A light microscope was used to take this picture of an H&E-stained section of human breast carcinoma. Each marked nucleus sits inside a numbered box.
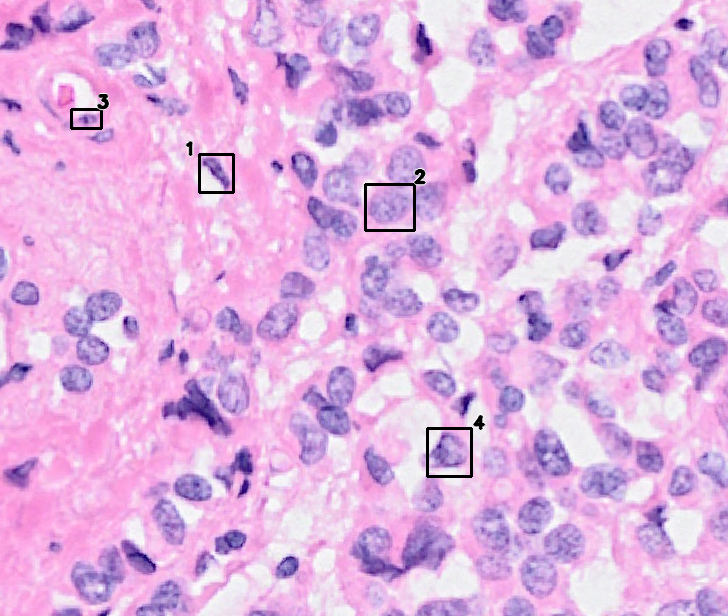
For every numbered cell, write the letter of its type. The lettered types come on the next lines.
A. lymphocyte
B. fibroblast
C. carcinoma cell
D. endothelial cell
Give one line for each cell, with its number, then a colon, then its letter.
1: B
2: C
3: D
4: C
